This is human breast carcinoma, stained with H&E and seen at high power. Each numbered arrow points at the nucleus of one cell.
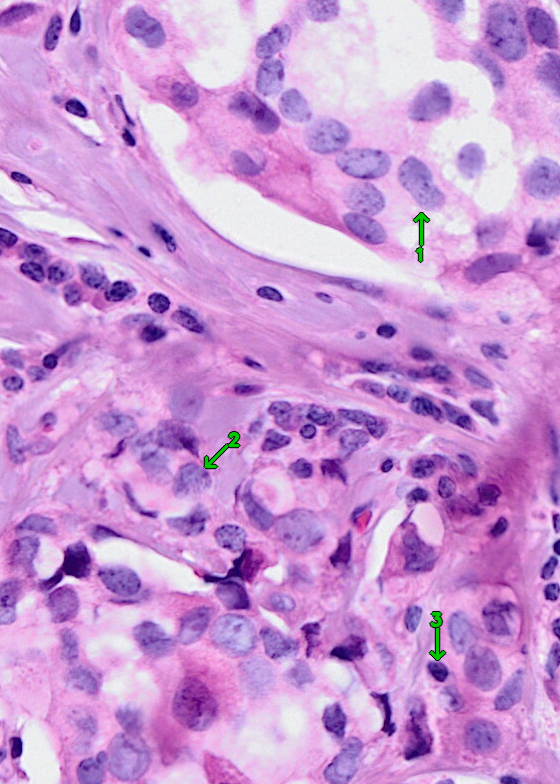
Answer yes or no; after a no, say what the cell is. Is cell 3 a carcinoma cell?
No, it is a lymphocyte.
